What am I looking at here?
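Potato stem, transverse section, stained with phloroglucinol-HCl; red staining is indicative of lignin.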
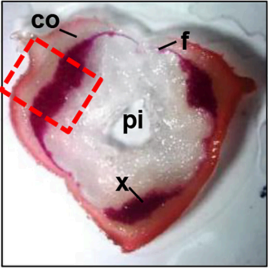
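A stem cross-section with a pale centre of large cells, with a small hollow in the middle. A thin crimson line follows the outline between these bands, marking the interfascicular fibers. The large unstained cells in the middle are pith.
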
